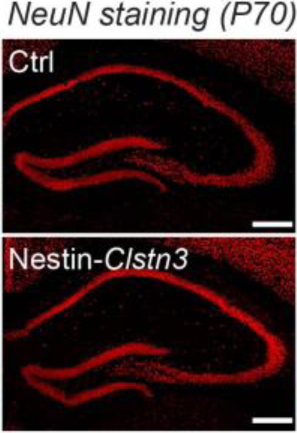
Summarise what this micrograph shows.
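Coronal sections through the hippocampus show the labelled neuronal layers as bright red bands. The curved band of the pyramidal cell layer sweeps around, while the V-shaped dentate granule cell band sits within its open end. Scattered labelled neurons fill the surrounding tissue more sparsely.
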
